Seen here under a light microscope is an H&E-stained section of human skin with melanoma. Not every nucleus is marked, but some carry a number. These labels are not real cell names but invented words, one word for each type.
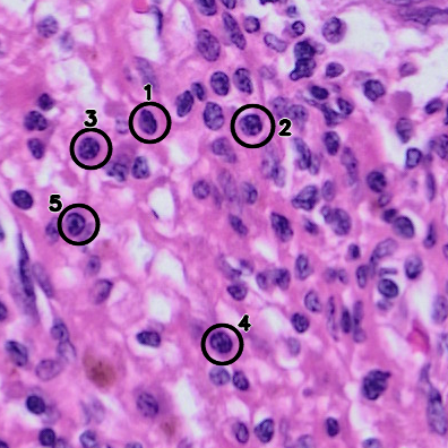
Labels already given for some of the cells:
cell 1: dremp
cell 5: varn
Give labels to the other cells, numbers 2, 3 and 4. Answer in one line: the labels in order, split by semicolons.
dremp; varn; varn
